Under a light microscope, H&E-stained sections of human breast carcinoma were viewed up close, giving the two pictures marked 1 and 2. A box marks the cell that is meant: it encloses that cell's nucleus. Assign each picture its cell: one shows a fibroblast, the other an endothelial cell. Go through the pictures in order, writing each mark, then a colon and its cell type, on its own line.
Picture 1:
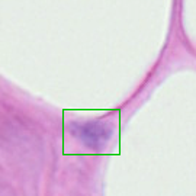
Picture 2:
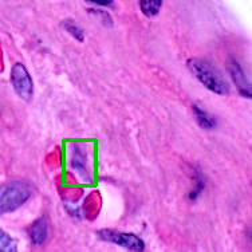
1: fibroblast
2: endothelial cell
